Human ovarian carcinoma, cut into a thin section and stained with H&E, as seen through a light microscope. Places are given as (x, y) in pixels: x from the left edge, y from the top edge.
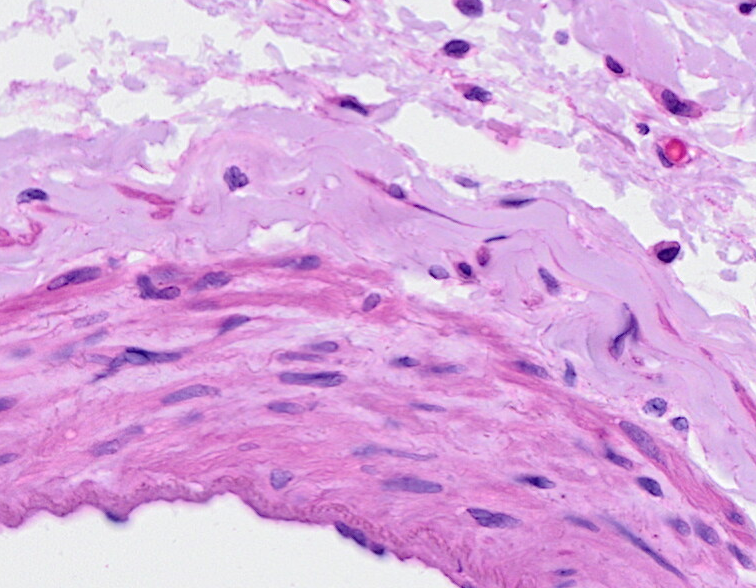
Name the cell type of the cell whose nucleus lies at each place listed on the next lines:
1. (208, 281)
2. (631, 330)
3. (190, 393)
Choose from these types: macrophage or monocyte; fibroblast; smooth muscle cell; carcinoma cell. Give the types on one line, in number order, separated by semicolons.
smooth muscle cell; fibroblast; smooth muscle cell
